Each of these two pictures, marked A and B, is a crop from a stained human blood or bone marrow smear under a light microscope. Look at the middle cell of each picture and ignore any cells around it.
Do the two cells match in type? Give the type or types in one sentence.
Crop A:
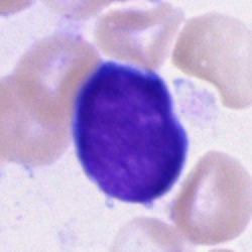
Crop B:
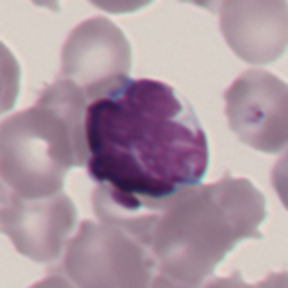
No, in crop A the cell is a blast, and in crop B it is a lymphocyte.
